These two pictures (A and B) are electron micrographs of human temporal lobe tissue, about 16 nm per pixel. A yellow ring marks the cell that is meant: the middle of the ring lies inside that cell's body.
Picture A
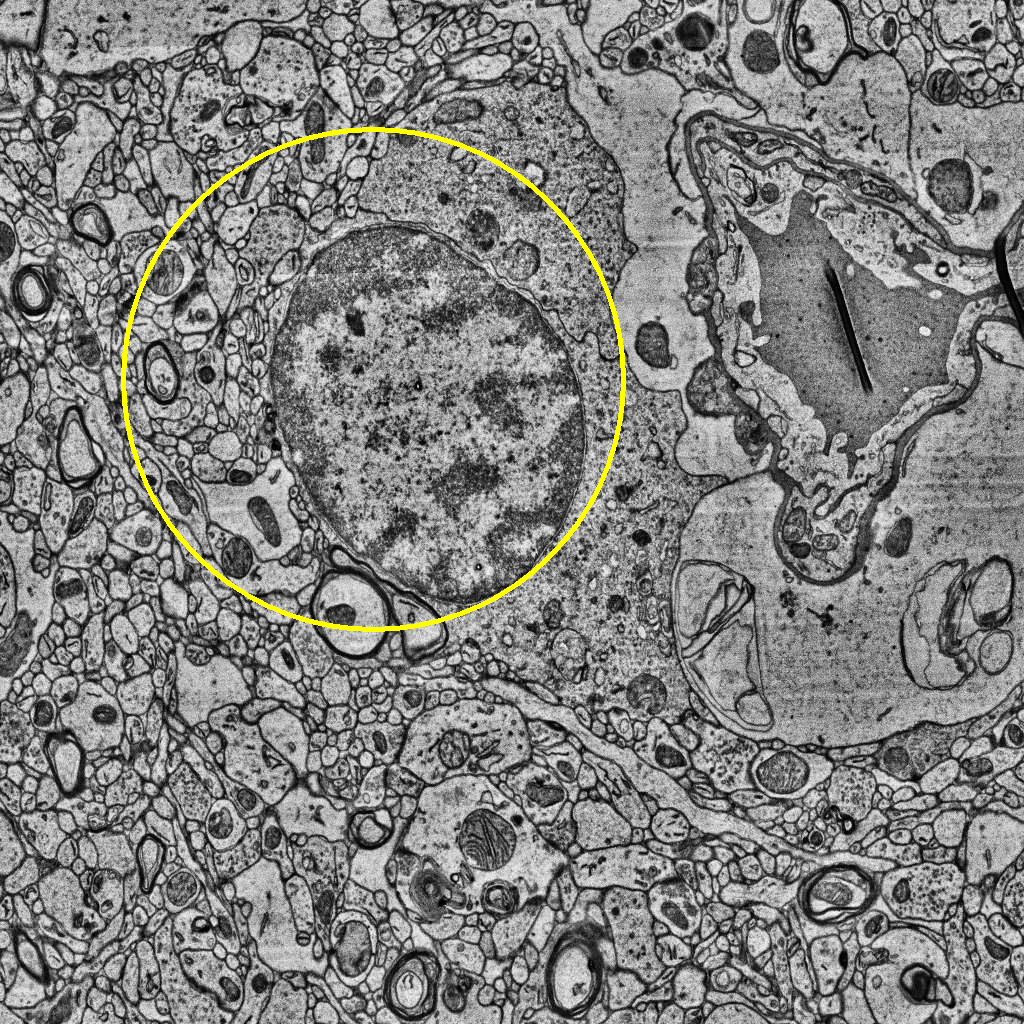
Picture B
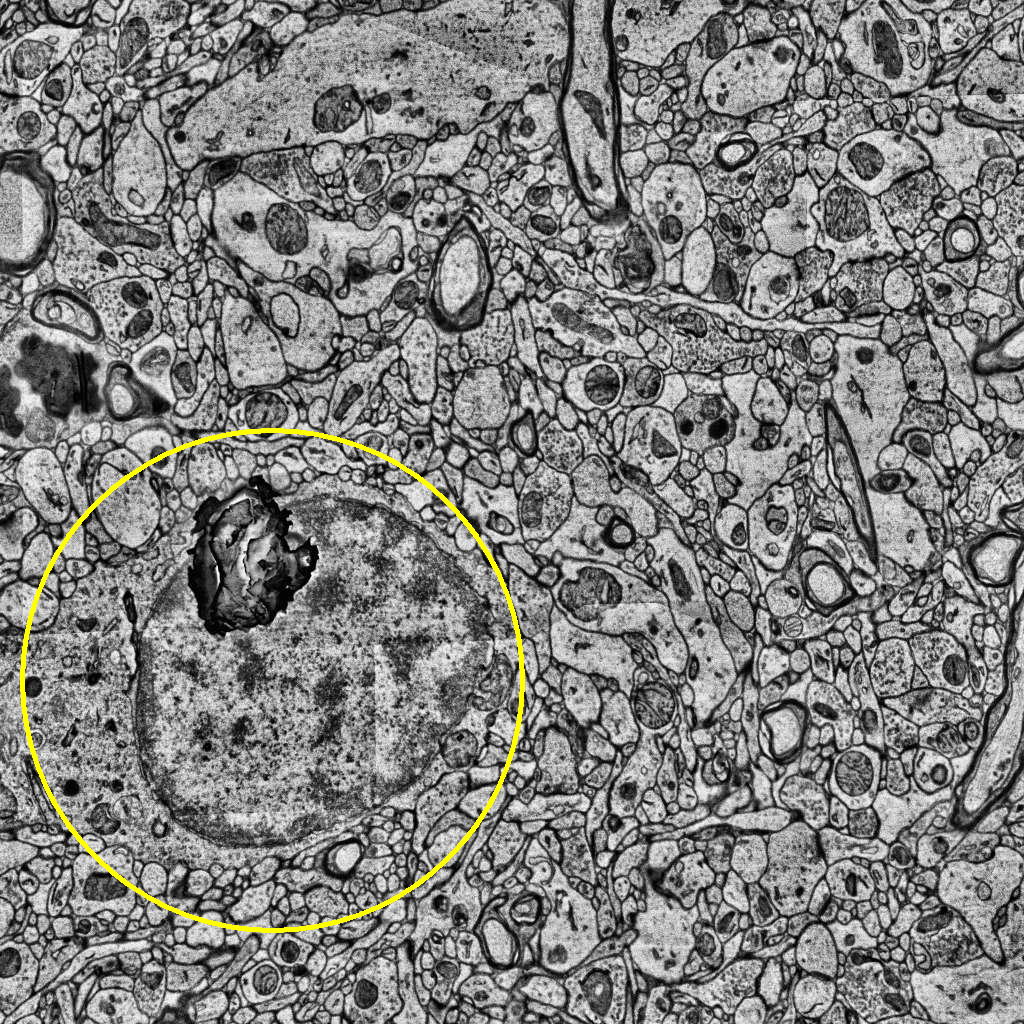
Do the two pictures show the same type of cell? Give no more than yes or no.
yes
